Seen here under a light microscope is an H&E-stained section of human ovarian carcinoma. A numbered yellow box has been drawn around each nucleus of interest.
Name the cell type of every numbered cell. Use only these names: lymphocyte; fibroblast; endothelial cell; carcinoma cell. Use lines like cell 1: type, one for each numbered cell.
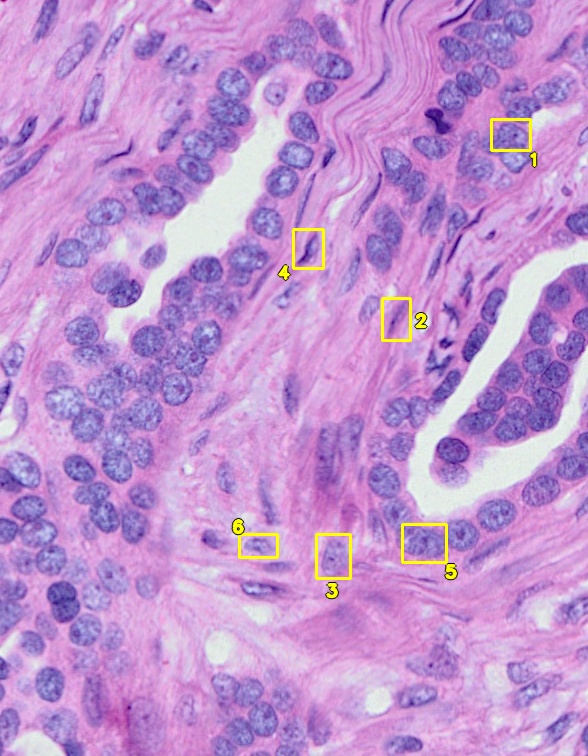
cell 1: carcinoma cell
cell 2: fibroblast
cell 3: fibroblast
cell 4: fibroblast
cell 5: carcinoma cell
cell 6: fibroblast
